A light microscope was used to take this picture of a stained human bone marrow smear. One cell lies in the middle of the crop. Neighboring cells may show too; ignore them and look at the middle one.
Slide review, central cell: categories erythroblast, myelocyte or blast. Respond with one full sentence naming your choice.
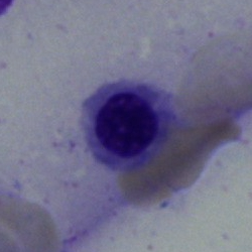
The identification for the central cell is an erythroblast.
